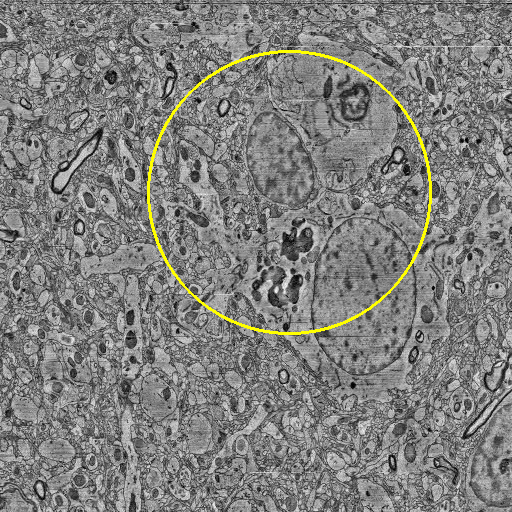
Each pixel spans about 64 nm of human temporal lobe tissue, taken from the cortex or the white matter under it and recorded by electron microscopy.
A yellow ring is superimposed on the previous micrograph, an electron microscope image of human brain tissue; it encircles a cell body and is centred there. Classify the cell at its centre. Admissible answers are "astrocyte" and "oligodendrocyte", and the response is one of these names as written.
oligodendrocyte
